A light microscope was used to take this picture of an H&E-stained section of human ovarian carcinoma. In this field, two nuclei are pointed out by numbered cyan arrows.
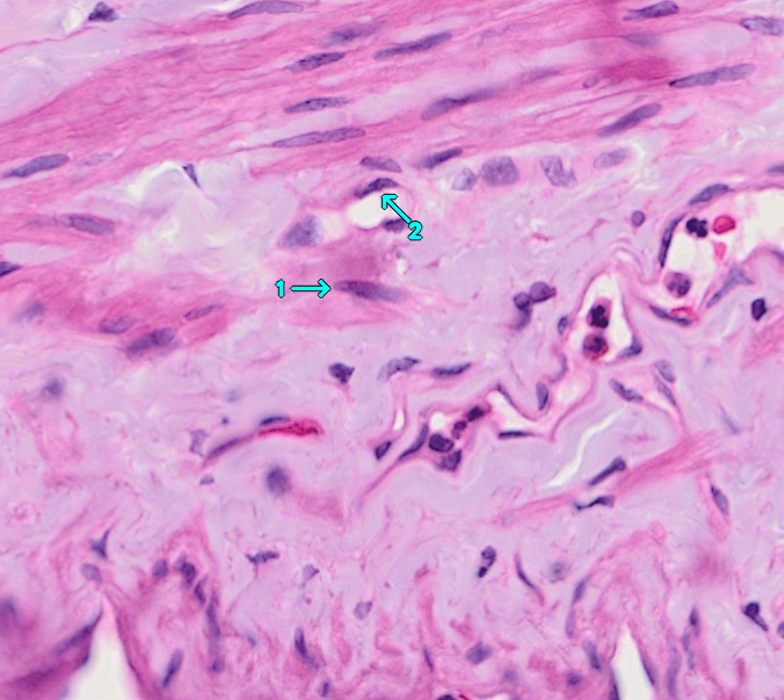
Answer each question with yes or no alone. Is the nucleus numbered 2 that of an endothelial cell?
yes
